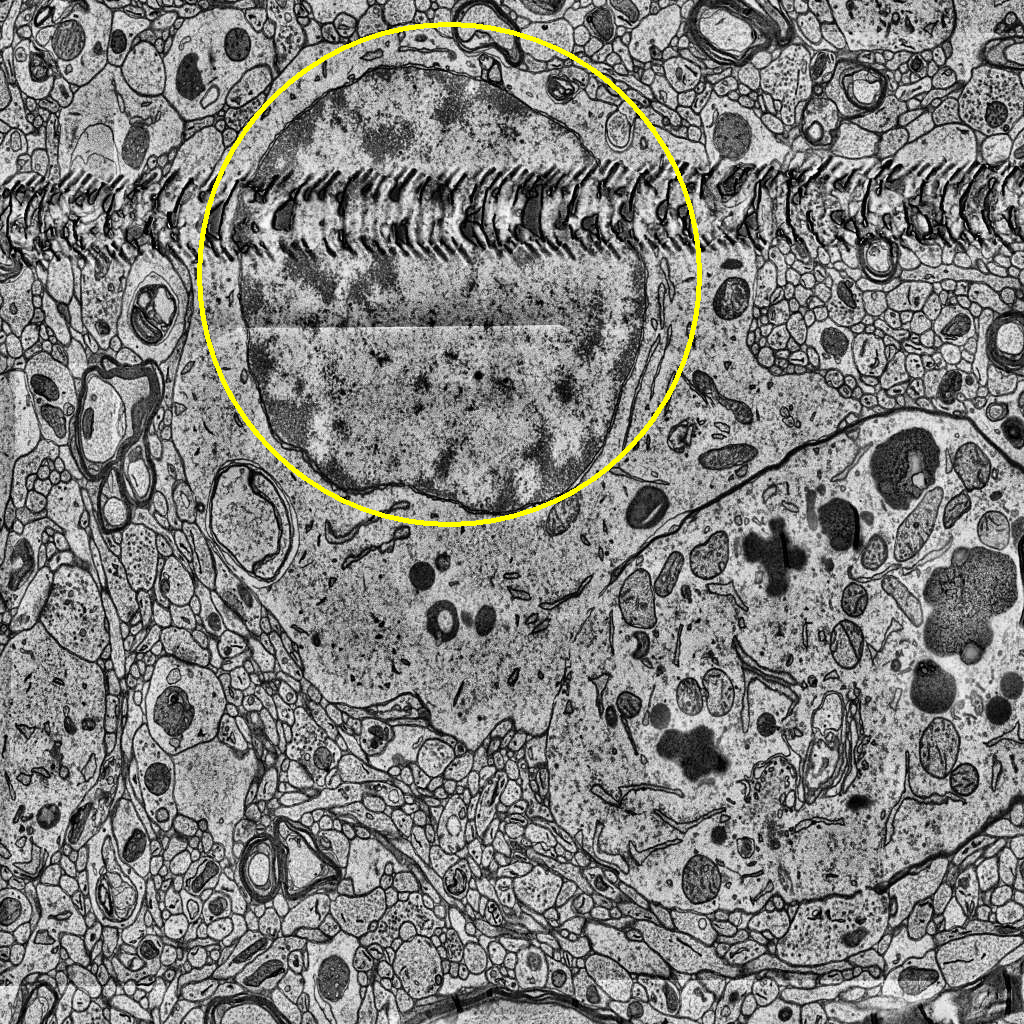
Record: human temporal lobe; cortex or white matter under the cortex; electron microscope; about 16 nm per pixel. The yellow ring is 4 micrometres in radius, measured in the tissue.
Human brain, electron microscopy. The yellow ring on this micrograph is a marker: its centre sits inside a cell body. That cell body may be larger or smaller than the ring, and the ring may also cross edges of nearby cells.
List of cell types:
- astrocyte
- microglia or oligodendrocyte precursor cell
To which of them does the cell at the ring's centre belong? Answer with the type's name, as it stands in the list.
microglia or oligodendrocyte precursor cell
